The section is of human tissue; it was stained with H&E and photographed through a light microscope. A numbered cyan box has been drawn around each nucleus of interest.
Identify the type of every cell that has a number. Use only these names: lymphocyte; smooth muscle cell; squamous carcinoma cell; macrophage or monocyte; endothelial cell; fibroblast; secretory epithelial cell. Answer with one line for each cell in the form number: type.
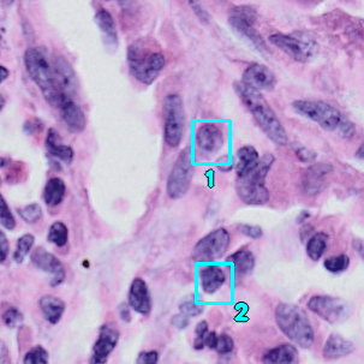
1: macrophage or monocyte
2: lymphocyte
